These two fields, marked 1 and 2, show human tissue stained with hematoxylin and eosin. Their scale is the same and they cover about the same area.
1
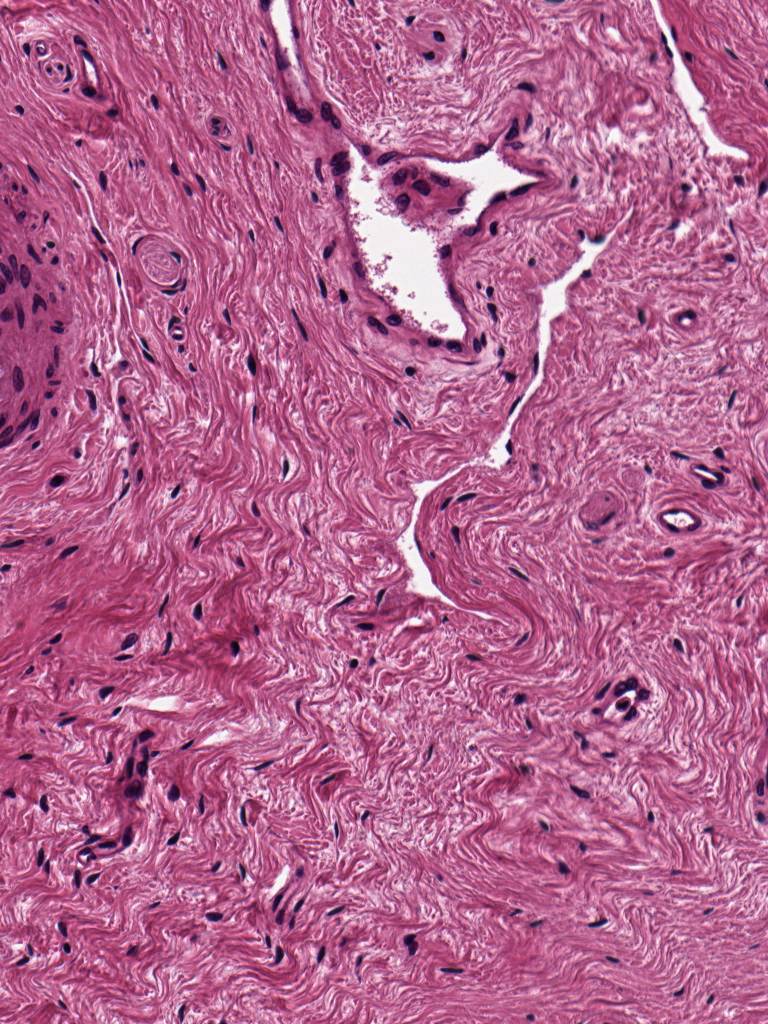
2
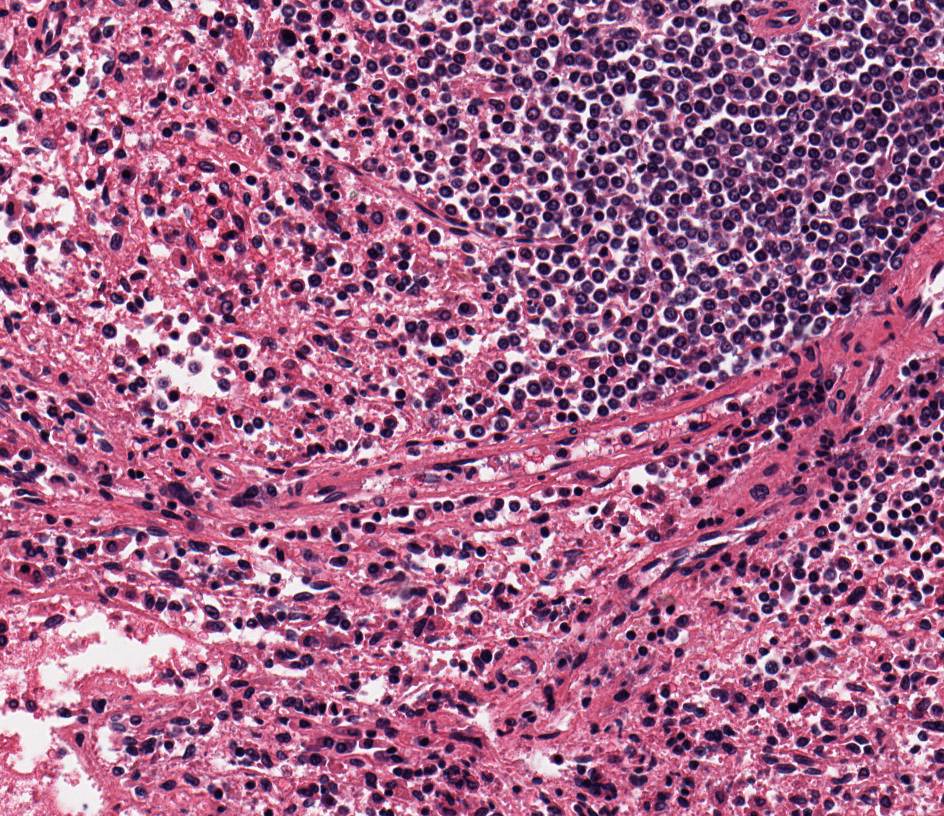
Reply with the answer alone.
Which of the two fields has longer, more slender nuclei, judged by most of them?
1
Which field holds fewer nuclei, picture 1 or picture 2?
1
